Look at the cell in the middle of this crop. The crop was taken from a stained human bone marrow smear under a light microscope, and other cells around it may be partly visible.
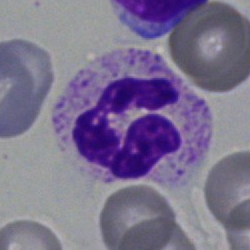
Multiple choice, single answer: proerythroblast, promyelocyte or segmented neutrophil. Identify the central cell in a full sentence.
In the central position of this crop, the cell is a segmented neutrophil.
